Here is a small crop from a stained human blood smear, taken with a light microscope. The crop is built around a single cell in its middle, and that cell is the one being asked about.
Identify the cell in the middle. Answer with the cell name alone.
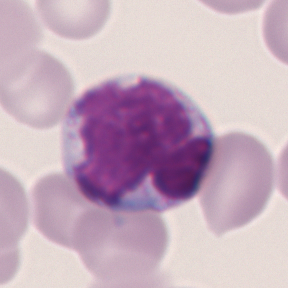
large granular lymphocyte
